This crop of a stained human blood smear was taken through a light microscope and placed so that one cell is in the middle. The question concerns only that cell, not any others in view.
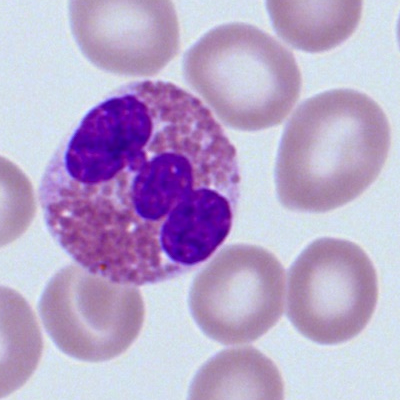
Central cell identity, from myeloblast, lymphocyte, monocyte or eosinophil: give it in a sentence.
The middle position in this crop is taken by an eosinophil.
